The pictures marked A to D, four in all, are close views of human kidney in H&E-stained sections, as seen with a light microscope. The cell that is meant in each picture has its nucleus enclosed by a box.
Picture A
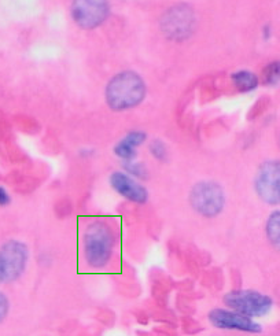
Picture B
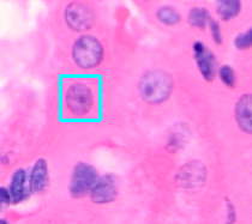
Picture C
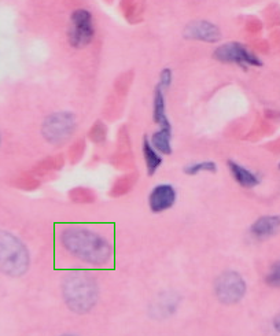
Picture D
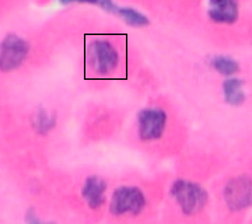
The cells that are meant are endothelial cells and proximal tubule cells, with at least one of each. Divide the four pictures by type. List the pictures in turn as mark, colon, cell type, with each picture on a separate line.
A: endothelial cell
B: proximal tubule cell
C: proximal tubule cell
D: proximal tubule cell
